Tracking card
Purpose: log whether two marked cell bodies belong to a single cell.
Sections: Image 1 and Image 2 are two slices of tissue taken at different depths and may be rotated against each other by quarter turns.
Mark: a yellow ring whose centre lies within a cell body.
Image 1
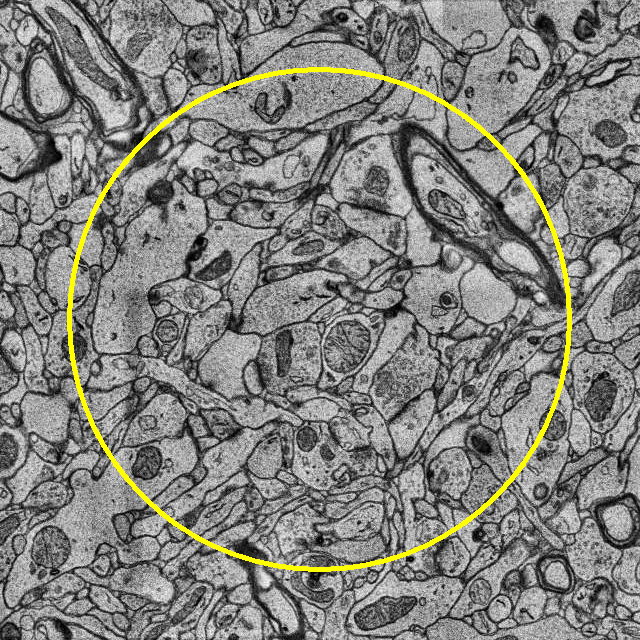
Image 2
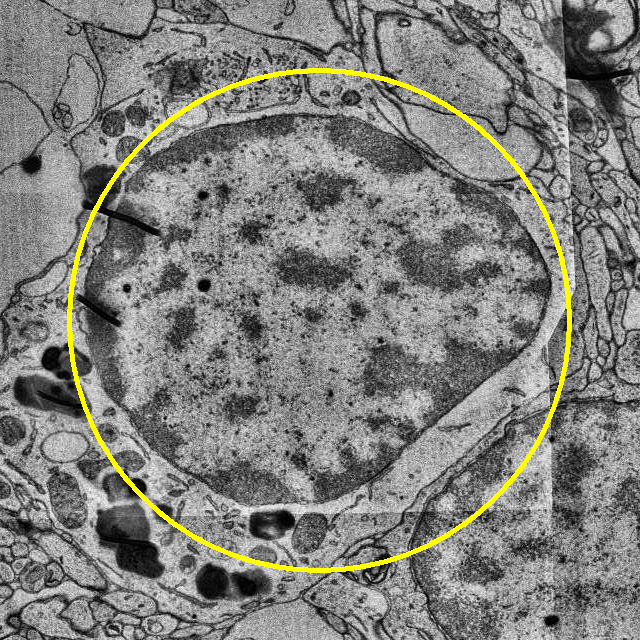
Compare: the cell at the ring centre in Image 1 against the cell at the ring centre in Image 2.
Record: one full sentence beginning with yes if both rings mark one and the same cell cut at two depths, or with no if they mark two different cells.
Yes, one cell is ringed in yellow twice over.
